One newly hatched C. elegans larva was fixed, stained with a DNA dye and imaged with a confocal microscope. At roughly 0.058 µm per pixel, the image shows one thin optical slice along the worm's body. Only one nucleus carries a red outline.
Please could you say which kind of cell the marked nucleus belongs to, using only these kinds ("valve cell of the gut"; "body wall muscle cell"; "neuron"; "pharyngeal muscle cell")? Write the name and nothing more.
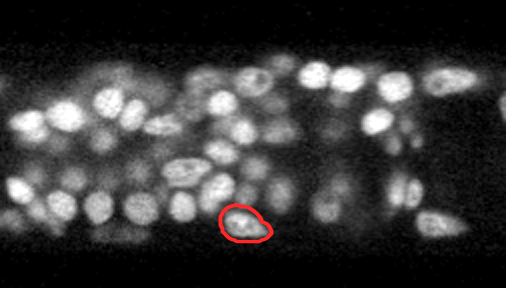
body wall muscle cell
